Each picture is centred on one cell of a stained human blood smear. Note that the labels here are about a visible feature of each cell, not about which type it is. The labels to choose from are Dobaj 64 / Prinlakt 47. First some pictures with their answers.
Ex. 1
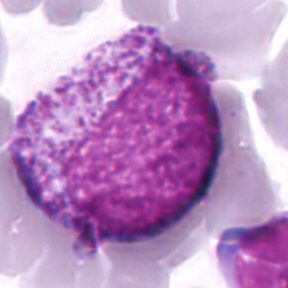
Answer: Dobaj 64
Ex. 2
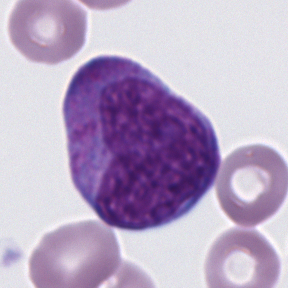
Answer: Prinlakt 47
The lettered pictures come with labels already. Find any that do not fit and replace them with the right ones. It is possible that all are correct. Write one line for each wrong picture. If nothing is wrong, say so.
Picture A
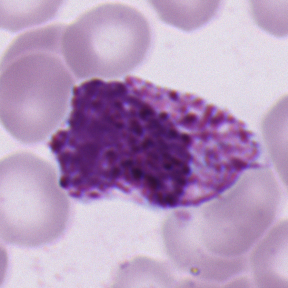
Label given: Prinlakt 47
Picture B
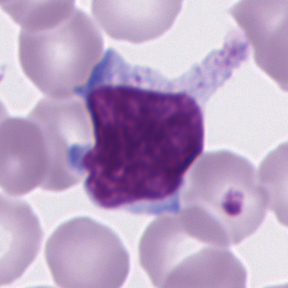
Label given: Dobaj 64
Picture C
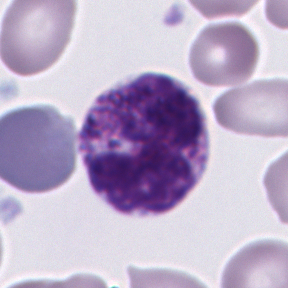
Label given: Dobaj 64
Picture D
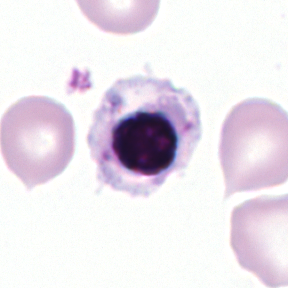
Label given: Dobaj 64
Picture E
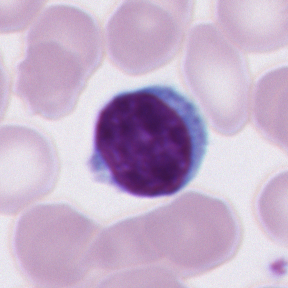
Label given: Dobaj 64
A is labelled Prinlakt 47; correct label: Dobaj 64
C is labelled Dobaj 64; correct label: Prinlakt 47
